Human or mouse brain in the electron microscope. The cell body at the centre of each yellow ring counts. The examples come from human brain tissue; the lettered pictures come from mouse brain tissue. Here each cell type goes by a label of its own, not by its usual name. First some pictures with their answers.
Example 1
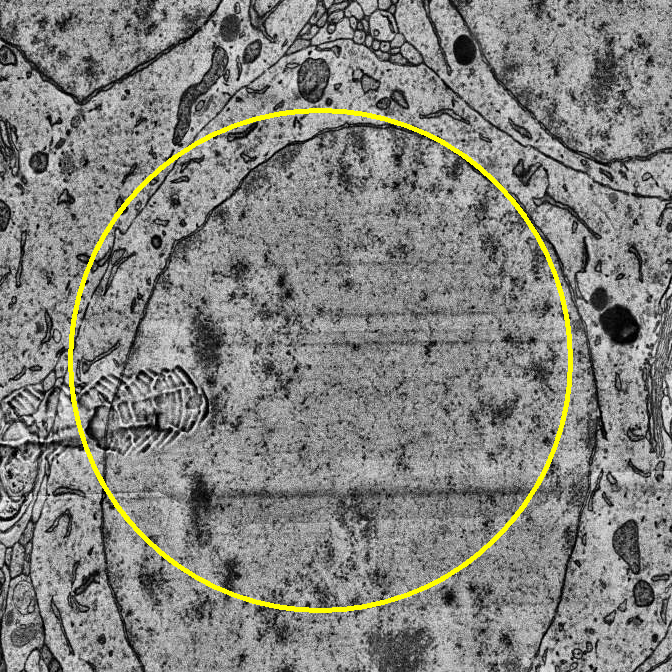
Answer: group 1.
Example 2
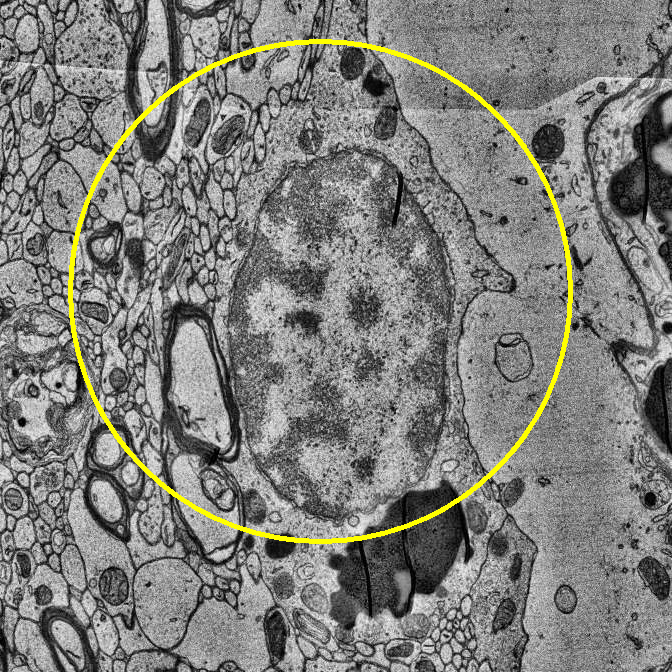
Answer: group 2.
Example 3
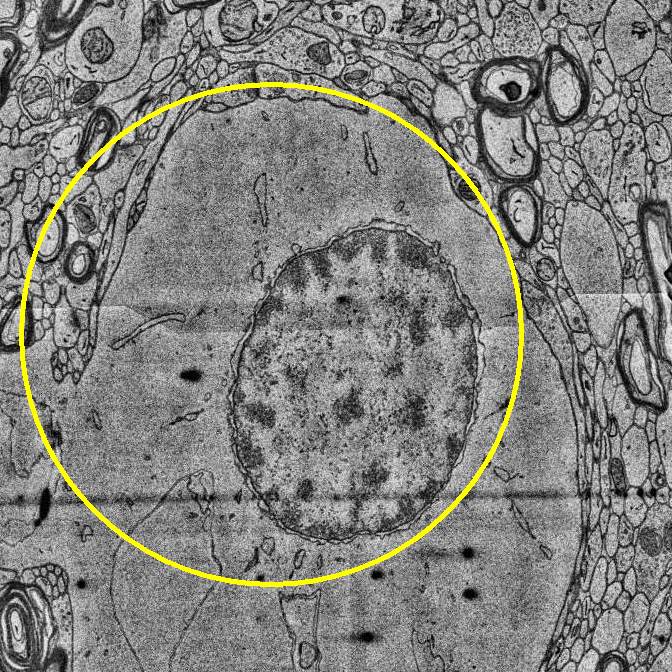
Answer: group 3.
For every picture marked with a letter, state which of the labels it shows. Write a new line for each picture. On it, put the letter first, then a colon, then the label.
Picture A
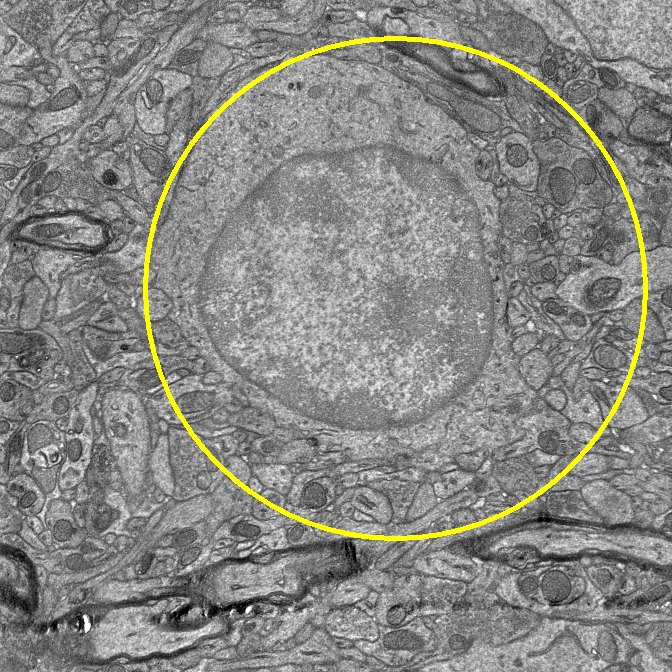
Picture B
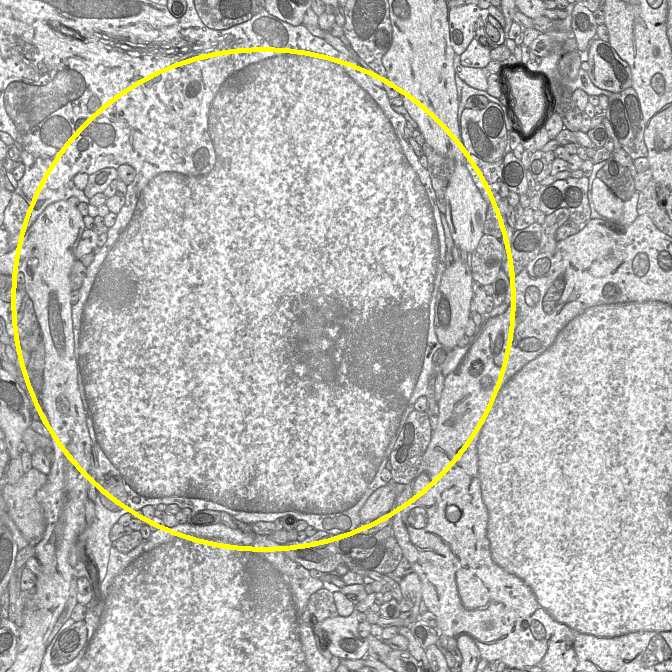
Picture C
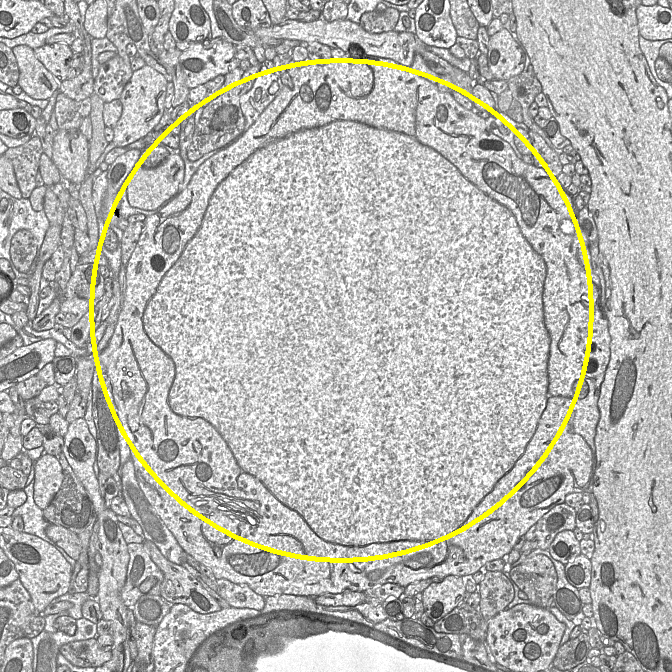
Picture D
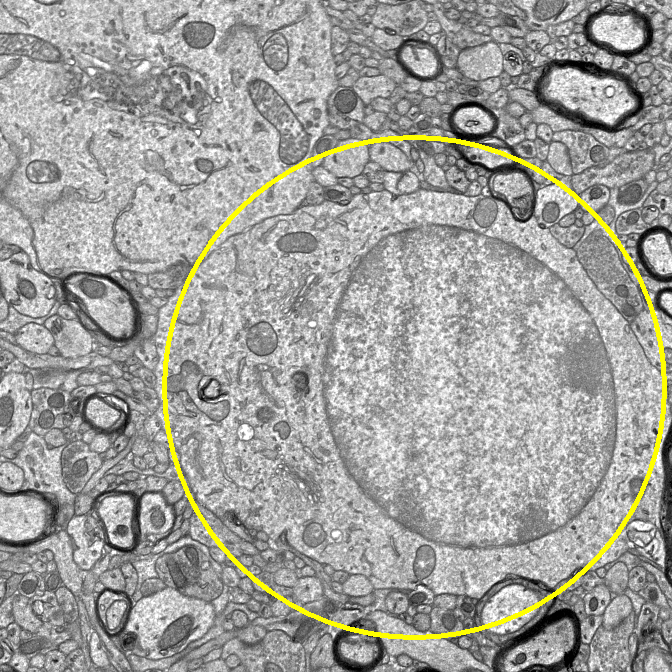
A: group 2.
B: group 3.
C: group 1.
D: group 2.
